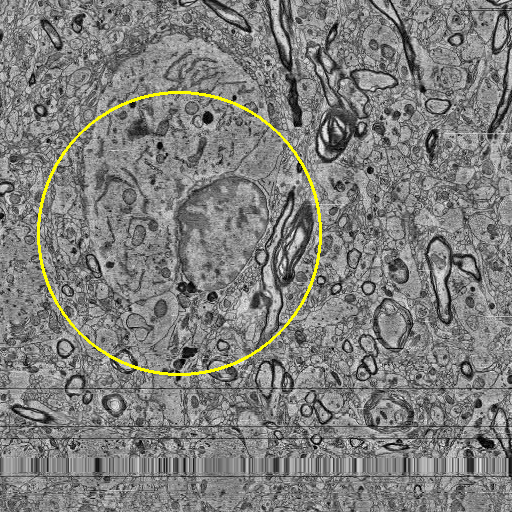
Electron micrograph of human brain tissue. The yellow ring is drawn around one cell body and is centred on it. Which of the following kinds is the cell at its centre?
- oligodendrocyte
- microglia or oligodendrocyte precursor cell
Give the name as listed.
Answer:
microglia or oligodendrocyte precursor cell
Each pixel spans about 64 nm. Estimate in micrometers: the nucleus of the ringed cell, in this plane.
Approximately 8 by 6 micrometers in this plane.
